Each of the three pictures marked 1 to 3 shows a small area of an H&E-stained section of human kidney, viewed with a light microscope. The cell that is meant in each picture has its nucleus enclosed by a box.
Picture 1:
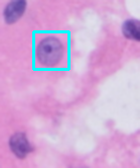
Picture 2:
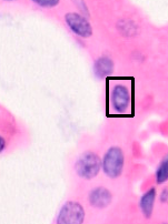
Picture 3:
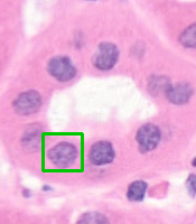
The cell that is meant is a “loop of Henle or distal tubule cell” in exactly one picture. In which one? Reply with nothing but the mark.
3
